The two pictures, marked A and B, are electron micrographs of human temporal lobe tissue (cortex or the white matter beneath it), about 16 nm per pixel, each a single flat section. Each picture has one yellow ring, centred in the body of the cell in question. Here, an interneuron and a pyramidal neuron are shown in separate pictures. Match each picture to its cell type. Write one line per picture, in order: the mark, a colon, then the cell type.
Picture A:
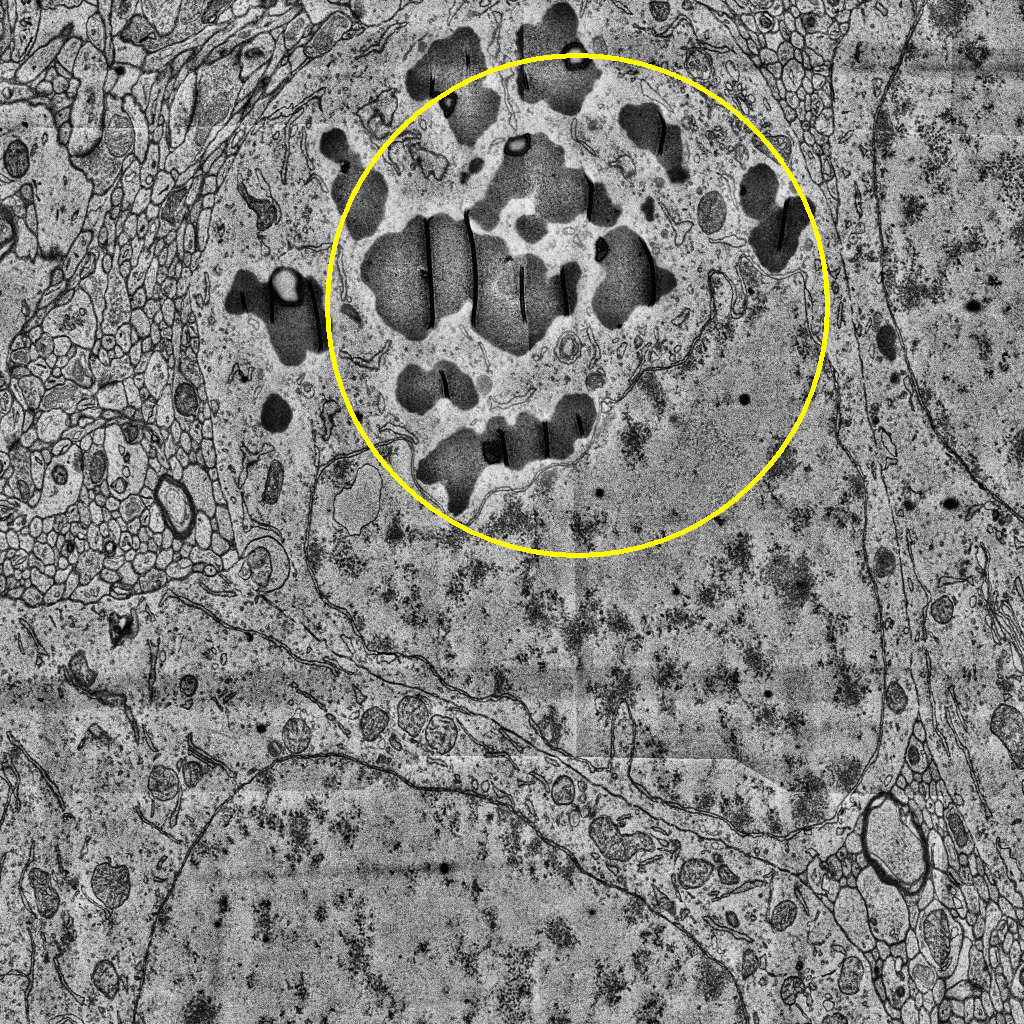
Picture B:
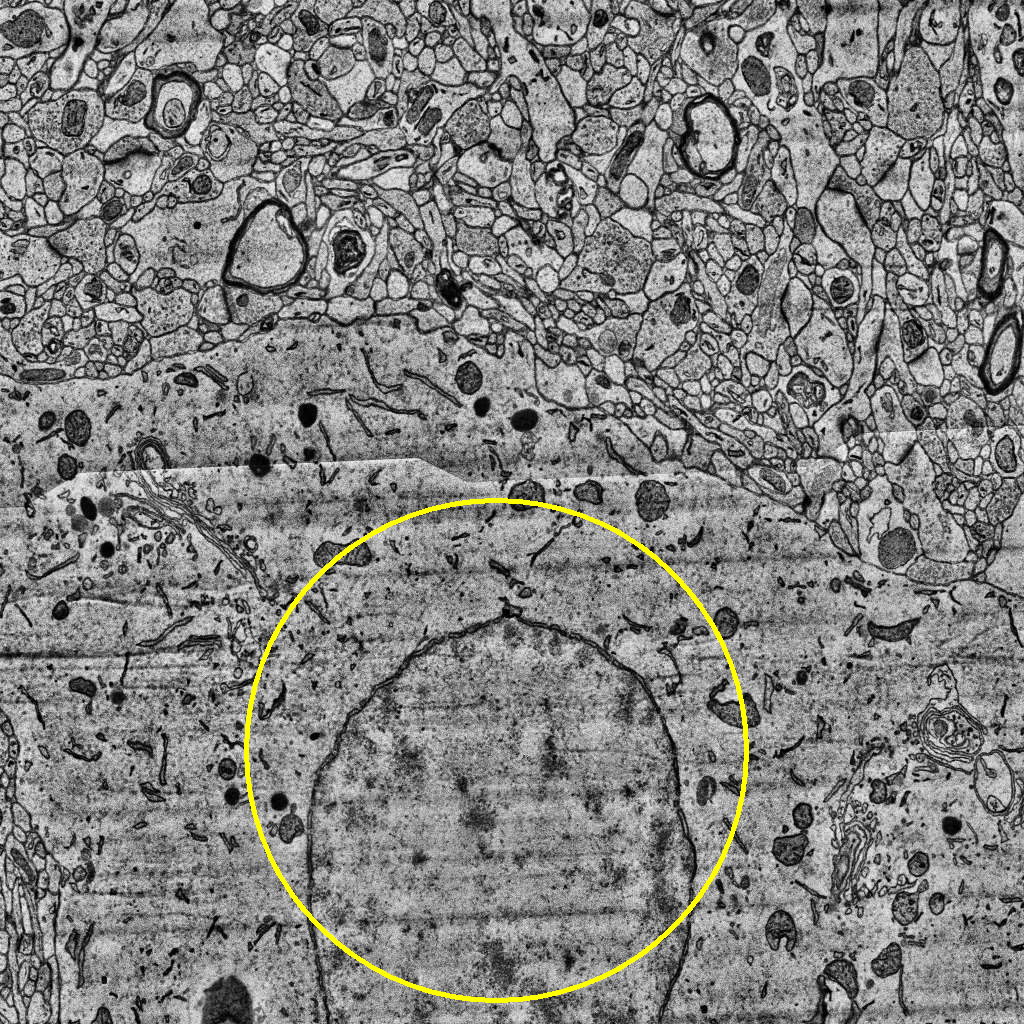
A: interneuron
B: pyramidal neuron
